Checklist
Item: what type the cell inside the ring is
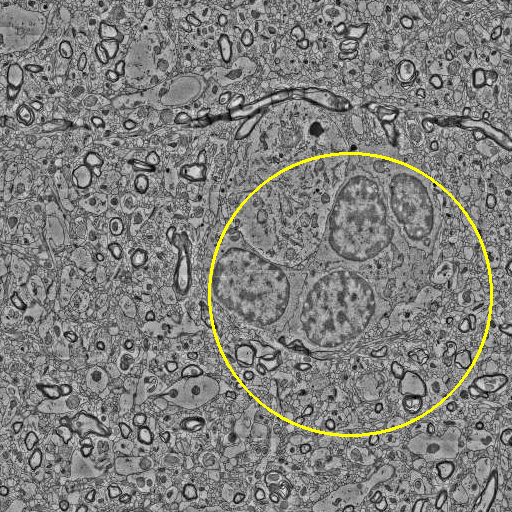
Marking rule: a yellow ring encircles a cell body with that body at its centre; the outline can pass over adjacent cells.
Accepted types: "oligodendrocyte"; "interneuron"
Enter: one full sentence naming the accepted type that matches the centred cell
The entry is that an oligodendrocyte lies at the centre of the yellow ring.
